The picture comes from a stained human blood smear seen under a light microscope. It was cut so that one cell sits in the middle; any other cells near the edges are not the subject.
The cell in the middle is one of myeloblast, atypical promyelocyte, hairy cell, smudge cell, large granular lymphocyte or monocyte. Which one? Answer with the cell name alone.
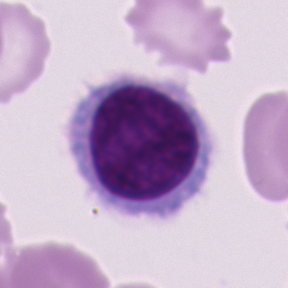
hairy cell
